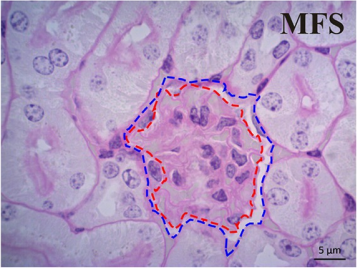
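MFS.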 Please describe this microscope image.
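A small glomerulus in the renal cortex is shown, its capillary tuft outlined in red and its outer boundary in blue. The tuft is compact, with pink-magenta walls and a modest number of dark nuclei. The two outlines run close together, leaving only a very narrow urinary space.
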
